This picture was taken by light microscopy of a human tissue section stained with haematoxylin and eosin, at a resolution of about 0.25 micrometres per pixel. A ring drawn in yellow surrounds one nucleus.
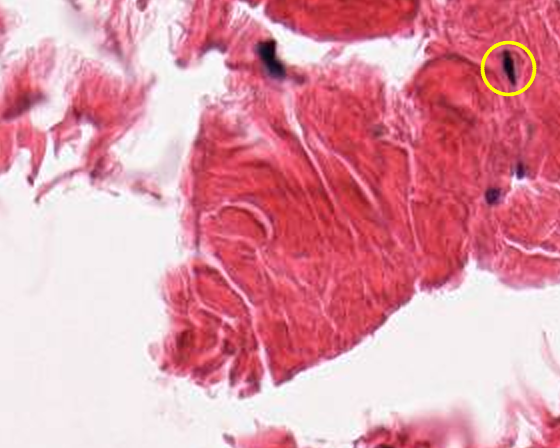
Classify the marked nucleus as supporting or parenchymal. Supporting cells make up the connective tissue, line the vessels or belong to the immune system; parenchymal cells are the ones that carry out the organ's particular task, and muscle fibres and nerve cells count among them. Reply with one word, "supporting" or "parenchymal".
supporting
